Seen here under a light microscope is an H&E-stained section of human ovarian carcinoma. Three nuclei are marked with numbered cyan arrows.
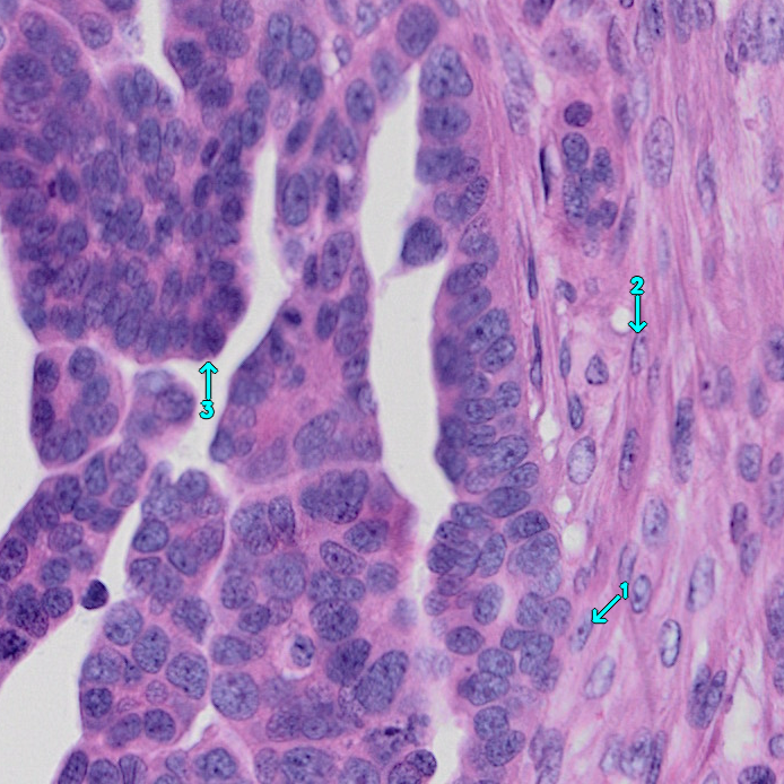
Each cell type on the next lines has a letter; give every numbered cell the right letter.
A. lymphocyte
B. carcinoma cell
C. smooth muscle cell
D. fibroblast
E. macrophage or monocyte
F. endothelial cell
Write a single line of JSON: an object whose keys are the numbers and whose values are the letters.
{"1": "D", "2": "D", "3": "B"}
